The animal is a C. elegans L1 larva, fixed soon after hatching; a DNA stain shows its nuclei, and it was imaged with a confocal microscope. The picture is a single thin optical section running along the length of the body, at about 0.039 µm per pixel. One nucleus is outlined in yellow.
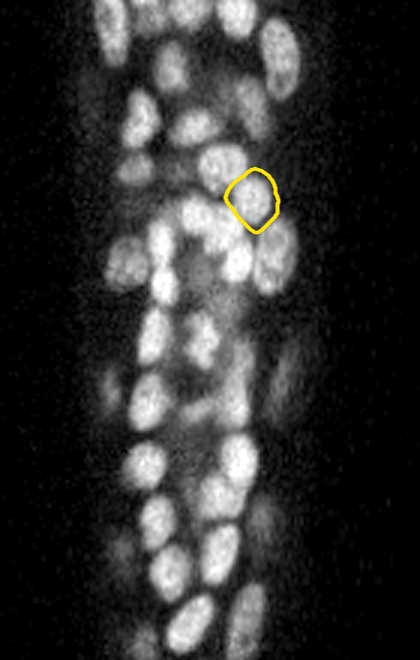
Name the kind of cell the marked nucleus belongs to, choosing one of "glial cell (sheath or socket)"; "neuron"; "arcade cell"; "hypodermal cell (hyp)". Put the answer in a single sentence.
It belongs to a neuron.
